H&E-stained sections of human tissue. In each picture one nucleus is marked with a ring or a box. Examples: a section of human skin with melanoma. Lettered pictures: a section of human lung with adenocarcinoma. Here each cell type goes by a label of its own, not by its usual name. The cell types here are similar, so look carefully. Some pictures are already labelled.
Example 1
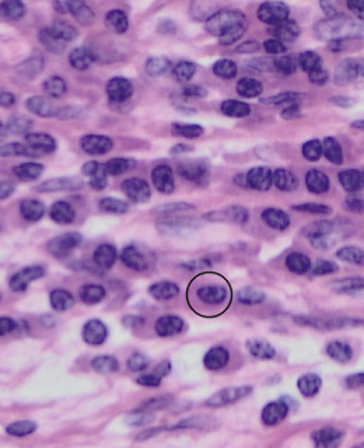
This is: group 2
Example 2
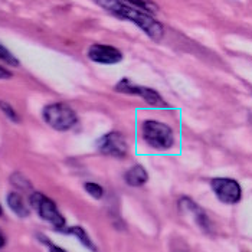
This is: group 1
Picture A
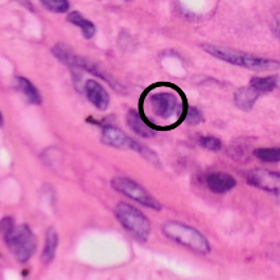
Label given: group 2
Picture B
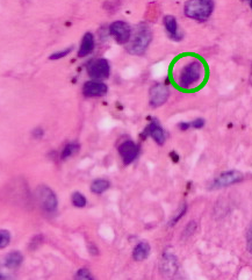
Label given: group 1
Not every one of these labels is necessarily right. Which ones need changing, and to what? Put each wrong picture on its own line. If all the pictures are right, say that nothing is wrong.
A is labelled group 2; correct label: group 1
B is labelled group 1; correct label: group 2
